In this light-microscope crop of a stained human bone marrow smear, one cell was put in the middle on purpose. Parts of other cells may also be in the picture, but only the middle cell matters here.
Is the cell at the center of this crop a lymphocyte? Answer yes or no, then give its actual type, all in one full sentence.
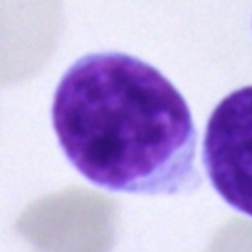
Yes, the cell positioned in the middle is a lymphocyte.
